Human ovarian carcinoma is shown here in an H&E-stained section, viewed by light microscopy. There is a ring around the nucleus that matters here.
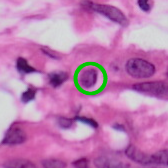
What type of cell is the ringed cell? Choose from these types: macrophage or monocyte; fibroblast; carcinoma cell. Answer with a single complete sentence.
The ringed cell is a macrophage or monocyte.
